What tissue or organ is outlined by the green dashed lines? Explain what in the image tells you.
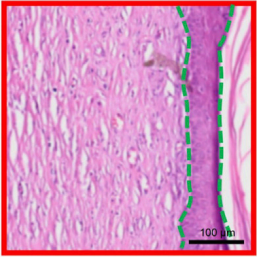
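The dashed lines enclose a dense, darker purple band along the right edge of the tissue. The band lies on top of paler pink fibrous tissue.
Hence: epidermal layer.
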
